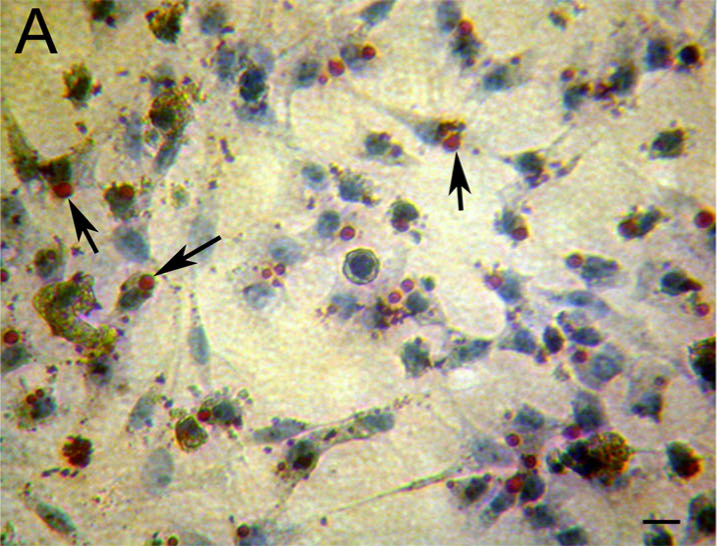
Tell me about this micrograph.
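The droplets cluster close to the nucleus or lie toward the ends of the elongated cells. Some cells are drawn out into thin cytoplasmic processes that reach toward neighbouring cells. A few rounded cells with darker, granular contents are scattered among the flattened ones.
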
